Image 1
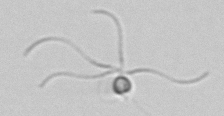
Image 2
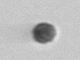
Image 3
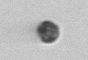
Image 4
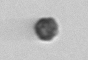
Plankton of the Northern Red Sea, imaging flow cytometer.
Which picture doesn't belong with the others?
Picture 1.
